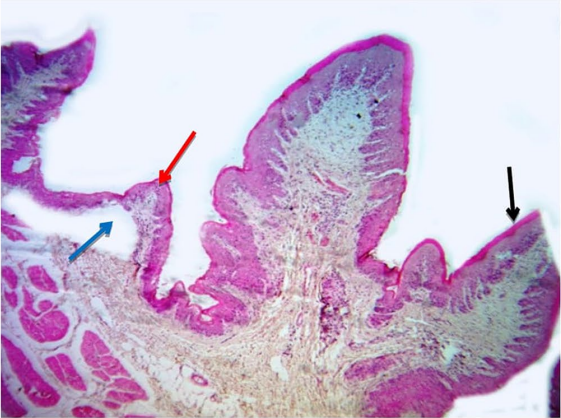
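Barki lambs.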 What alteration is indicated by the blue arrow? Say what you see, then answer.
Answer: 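The tissue at the base of the arrowed papilla is pale and loosely arranged. The answer: edema.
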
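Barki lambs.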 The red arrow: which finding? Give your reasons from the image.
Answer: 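Shortness of ruminal papillae. The arrowed papilla is a small projection far shorter than the tall neighbouring papillae. It has a thin pink epithelial covering over a narrow core.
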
